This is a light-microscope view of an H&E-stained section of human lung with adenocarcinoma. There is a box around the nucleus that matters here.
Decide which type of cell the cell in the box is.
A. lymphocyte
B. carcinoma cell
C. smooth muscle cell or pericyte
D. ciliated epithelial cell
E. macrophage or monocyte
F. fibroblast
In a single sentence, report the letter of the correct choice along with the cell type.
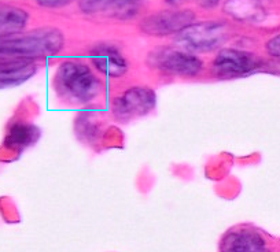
Option B, which has the cell in the box as a carcinoma cell, is the correct choice.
